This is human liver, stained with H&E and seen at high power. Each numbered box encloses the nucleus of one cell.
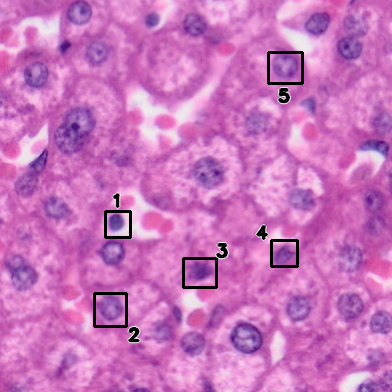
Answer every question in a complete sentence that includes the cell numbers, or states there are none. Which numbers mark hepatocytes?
The cells labelled 2 and 5 in this section are hepatocytes.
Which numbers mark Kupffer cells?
Among all the marked cells, a Kupffer cell is found only at number 4.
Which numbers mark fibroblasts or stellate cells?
Only at number 3 is there a fibroblast or stellate cell among the marked cells.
